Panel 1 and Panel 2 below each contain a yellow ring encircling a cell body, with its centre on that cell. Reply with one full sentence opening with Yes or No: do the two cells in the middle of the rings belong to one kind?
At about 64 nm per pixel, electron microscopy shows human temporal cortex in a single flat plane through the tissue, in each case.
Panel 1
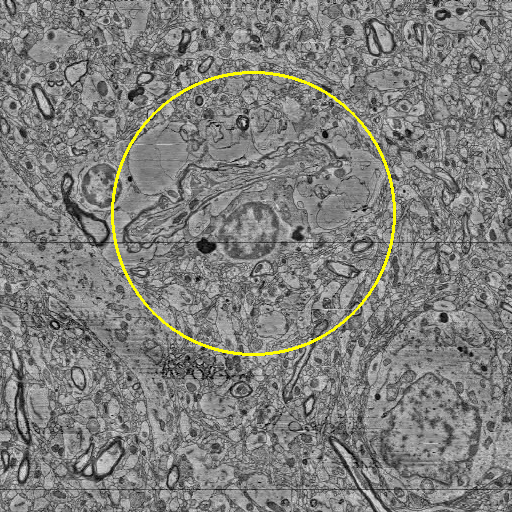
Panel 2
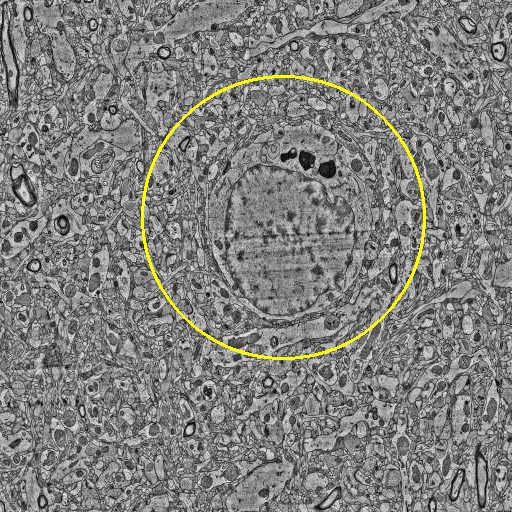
No, the cells at the middle of the Panel 1 ring and the Panel 2 ring are of two kinds.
